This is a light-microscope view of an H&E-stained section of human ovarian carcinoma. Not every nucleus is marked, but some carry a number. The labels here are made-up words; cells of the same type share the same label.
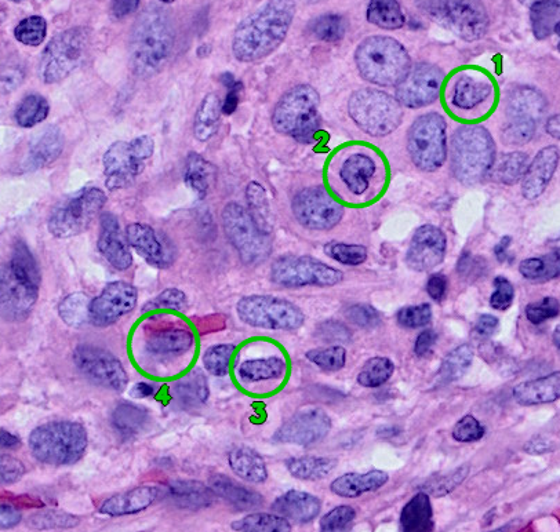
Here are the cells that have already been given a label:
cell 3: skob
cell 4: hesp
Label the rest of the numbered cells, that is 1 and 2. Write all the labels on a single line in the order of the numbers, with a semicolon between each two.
skob; skob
